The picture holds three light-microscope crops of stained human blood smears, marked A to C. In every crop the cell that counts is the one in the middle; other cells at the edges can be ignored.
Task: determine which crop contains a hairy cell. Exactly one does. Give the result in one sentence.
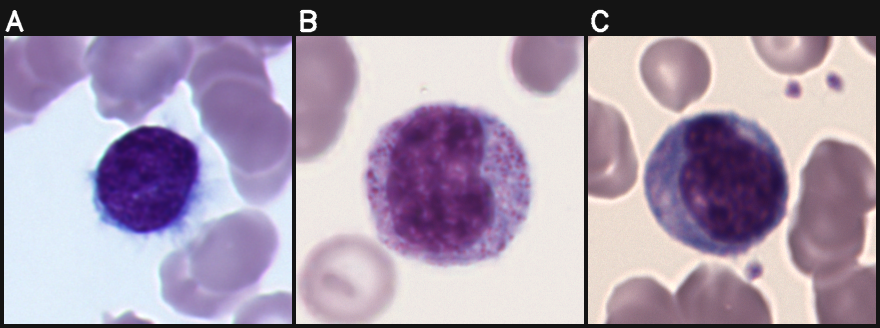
The correct choice is crop A, the one showing a hairy cell.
